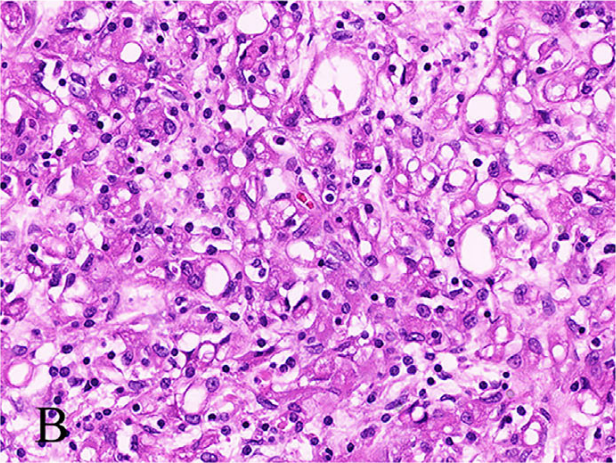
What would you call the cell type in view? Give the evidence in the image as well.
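Several cells hold a large clear vacuole. Nuclei in these cells are pushed to the edge by the vacuole. Surrounding cells have pink cytoplasm. That points to this answer: signet-ring-like cells.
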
